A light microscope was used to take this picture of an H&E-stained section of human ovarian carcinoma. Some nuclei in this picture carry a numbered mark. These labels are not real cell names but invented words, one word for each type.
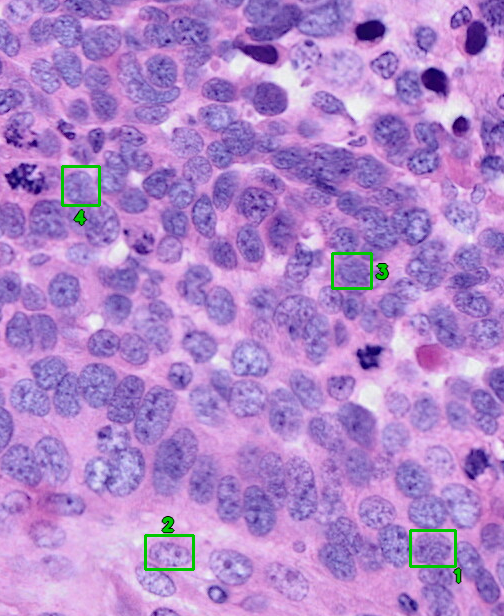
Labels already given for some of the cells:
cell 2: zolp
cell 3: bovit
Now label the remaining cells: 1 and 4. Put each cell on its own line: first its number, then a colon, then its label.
1: bovit
4: bovit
